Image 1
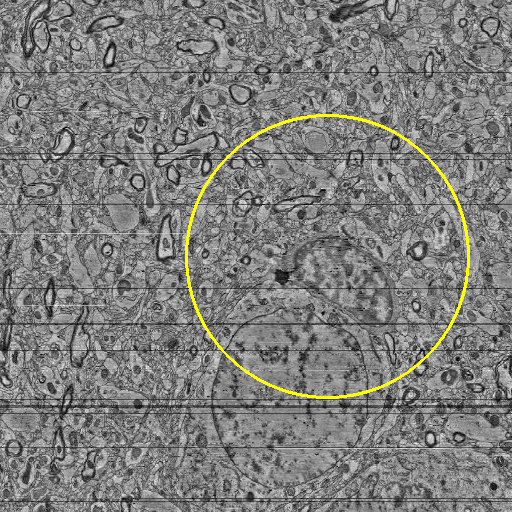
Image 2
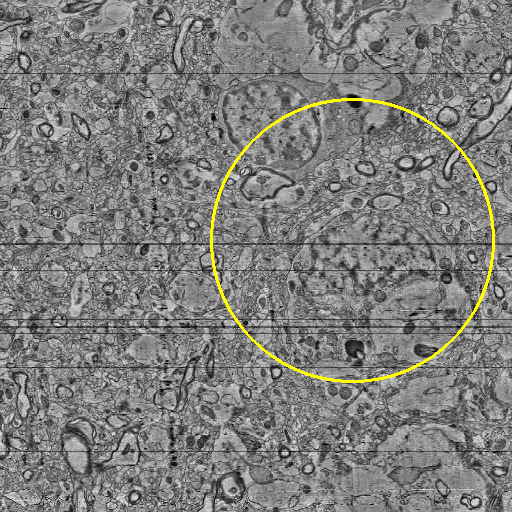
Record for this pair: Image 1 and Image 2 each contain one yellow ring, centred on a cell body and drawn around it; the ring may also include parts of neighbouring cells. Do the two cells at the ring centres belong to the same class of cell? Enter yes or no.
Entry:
no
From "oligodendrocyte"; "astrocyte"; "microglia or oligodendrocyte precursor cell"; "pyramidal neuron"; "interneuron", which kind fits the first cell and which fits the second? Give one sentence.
The cell marked in the first picture is an oligodendrocyte, and the one marked in the second is an interneuron.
